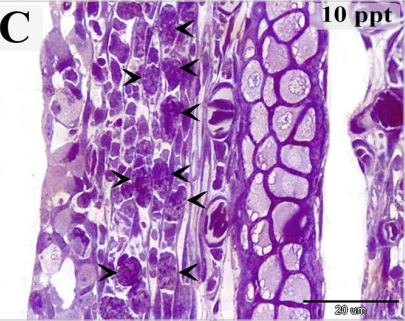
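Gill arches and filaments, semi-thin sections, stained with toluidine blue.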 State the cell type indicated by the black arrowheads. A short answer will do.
rodlet cells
